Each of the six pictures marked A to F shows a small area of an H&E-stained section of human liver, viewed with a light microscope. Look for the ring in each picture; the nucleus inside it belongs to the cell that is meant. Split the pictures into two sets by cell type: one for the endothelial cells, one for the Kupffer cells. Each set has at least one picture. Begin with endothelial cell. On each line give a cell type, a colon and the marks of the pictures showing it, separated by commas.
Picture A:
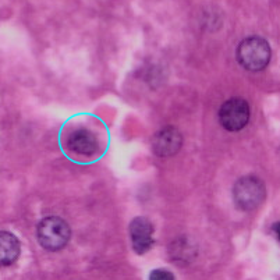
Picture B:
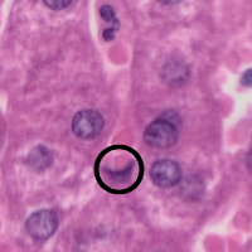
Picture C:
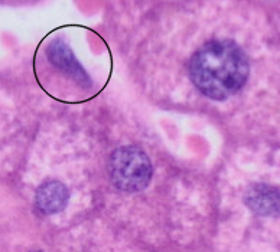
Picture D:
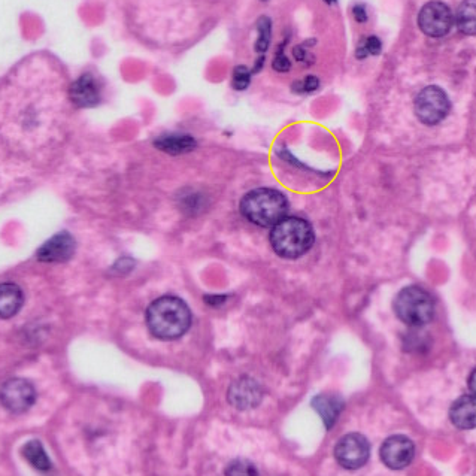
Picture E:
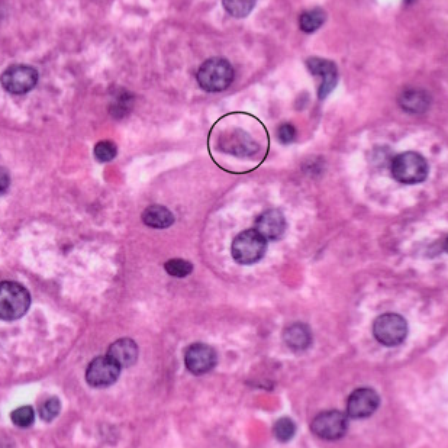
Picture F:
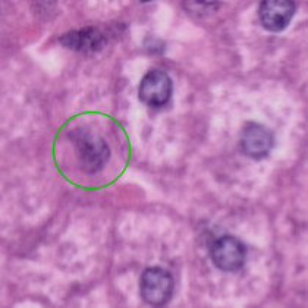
endothelial cell: B, D, F
Kupffer cell: A, C, E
